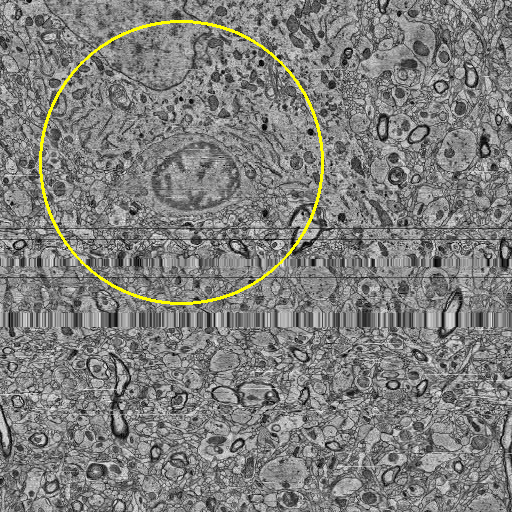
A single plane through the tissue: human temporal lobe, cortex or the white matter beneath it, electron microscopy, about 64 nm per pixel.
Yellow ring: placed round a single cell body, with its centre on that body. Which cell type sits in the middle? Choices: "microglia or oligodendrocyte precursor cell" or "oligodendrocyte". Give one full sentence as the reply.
It is an oligodendrocyte whose cell body sits at the centre of the yellow ring.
